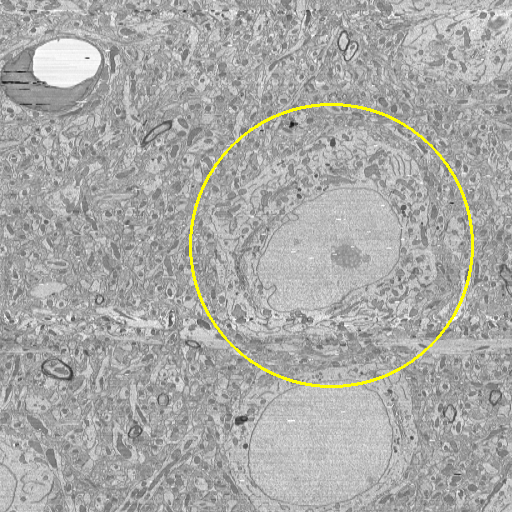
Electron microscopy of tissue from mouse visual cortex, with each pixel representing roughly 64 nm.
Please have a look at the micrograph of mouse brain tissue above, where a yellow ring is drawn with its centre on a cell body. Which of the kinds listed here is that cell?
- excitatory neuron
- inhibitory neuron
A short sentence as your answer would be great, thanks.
At the centre of the ring sits an inhibitory neuron.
